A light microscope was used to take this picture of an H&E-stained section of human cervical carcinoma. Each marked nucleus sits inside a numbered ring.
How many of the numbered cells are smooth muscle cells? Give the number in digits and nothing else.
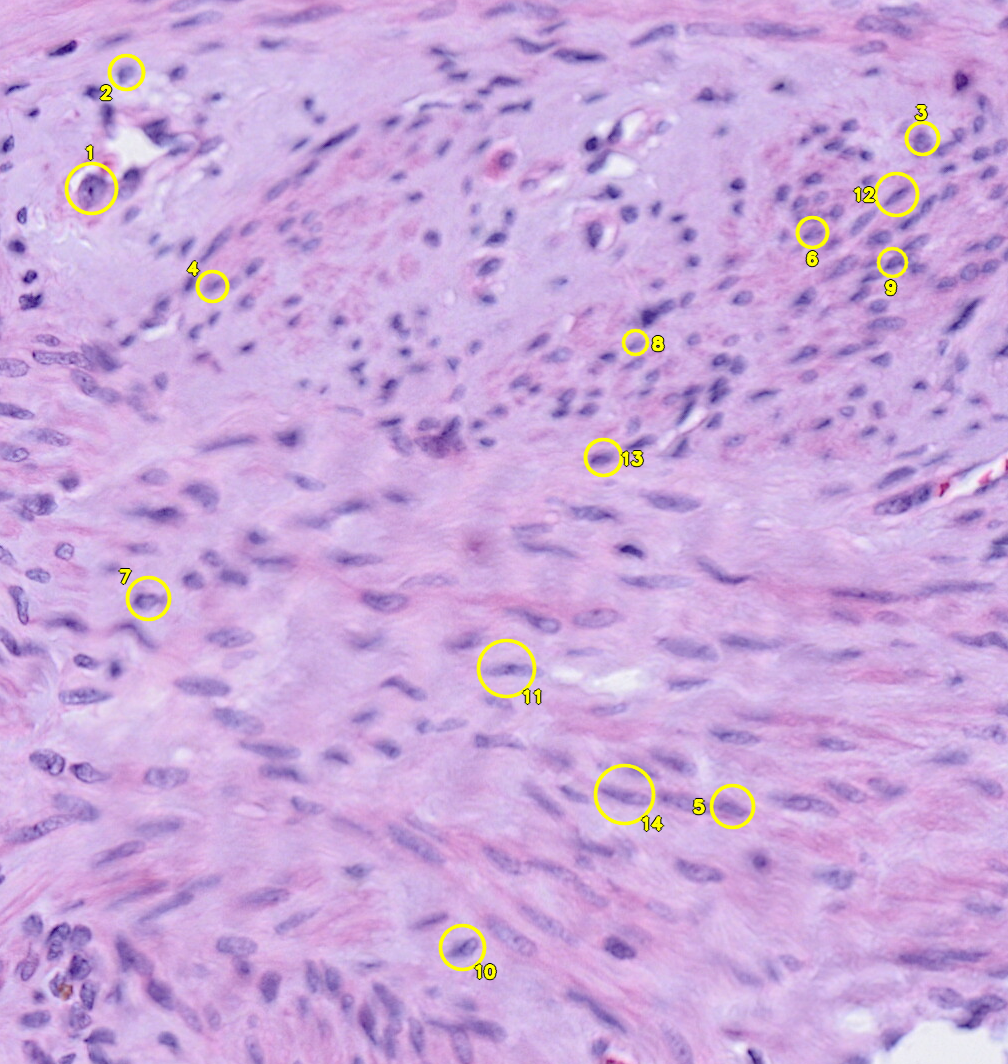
8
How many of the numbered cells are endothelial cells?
1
